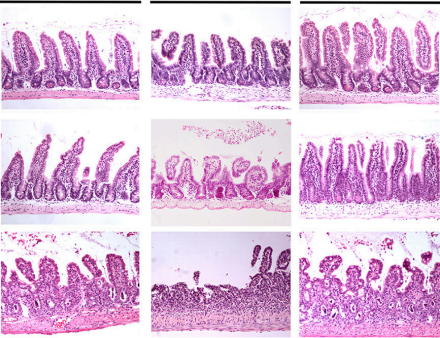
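This grid shows sections of intestinal mucosa with tall finger-like villi lined by a purple-nuclei epithelium, sitting on short crypts above a thin pink muscle wall. In several frames the villi are long and regular, while in others they are blunted, shortened or broken, and in one the villous architecture is largely flattened into a dense cellular layer. Some frames show loose cellular debris lying free in the lumen above the villi.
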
